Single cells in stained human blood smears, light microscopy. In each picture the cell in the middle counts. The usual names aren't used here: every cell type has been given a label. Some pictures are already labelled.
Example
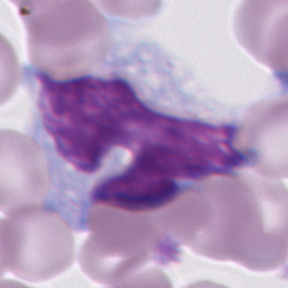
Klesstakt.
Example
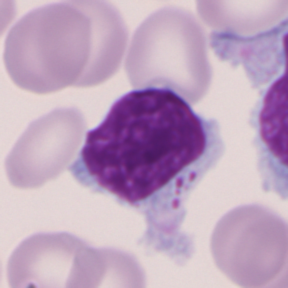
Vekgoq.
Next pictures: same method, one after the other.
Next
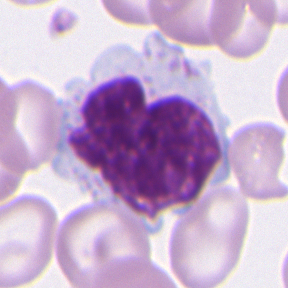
Vekgoq.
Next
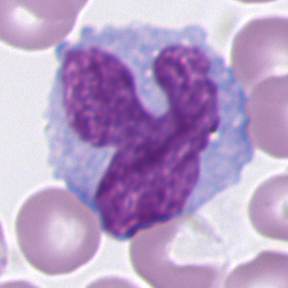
Klesstakt.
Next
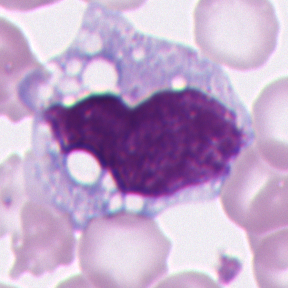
Klesstakt.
